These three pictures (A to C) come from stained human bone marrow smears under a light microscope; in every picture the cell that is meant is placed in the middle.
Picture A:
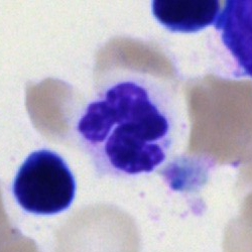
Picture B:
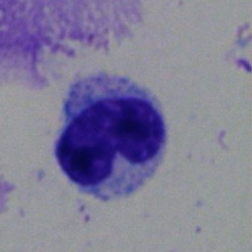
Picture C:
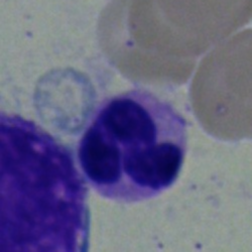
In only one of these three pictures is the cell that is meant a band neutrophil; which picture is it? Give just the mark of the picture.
B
